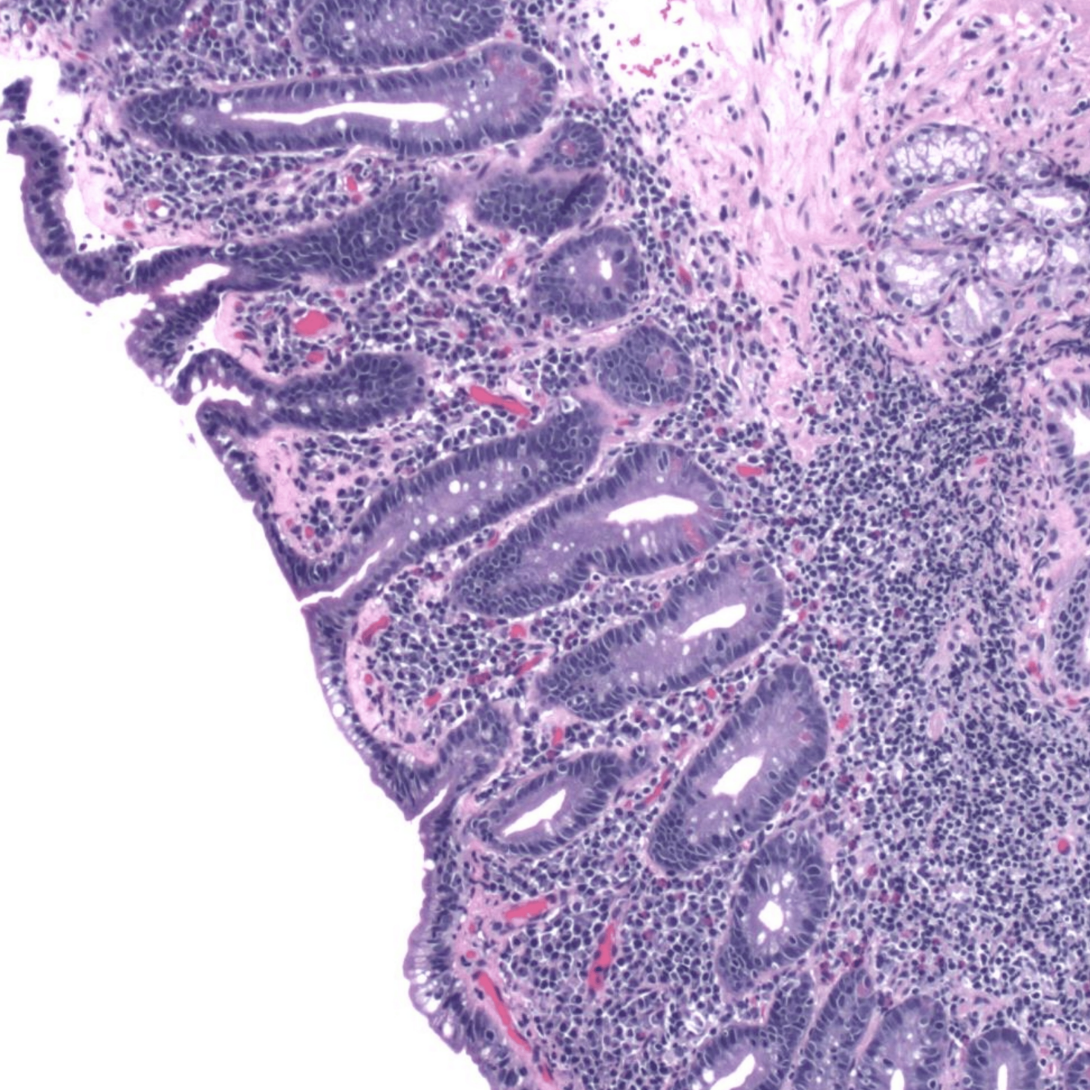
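The section shows small-bowel mucosa with a flat surface and no villi. Straight tubular crypts lined by columnar epithelium with elongated, crowded purple nuclei reach up to the flat surface, and some have open lumens. The lamina propria between the crypts is packed with small round cells with dark nuclei, and these cells form a dense sheet in the deeper mucosa on the right. In places a pale pink band lies just beneath the surface epithelium. At the upper right, pale mucous glands lie within pink fibrous tissue. Small, red, blood-filled capillaries are scattered among the crypts.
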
